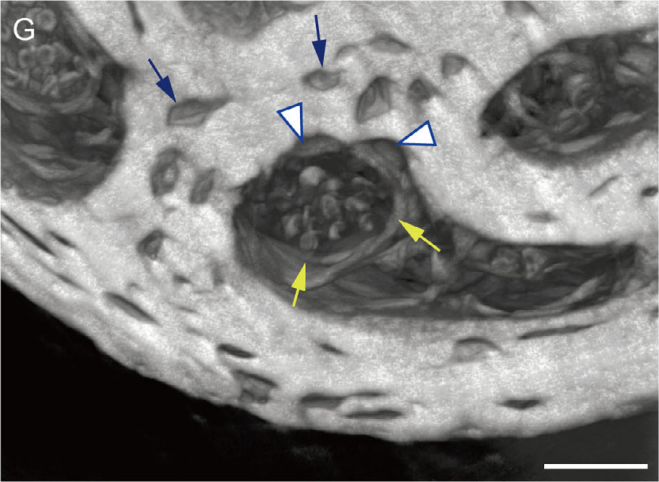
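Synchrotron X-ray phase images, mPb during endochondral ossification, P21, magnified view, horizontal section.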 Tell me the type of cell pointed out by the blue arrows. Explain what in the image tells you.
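The arrows point to small dark lens-shaped spaces embedded in the bright matrix. Such spaces are scattered throughout the matrix away from the channels. So: osteocytes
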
